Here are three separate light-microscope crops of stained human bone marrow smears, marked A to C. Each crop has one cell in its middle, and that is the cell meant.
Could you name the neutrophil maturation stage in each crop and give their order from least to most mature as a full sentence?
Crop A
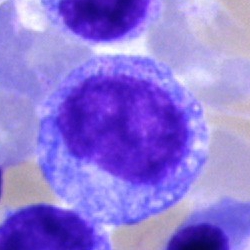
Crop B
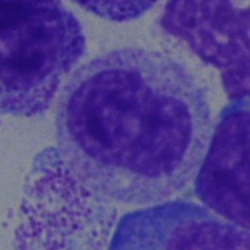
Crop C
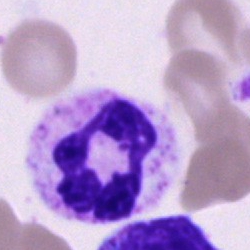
In rising order of maturity, the crops are crop A (a promyelocyte), crop B (a metamyelocyte) and crop C (a segmented neutrophil).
